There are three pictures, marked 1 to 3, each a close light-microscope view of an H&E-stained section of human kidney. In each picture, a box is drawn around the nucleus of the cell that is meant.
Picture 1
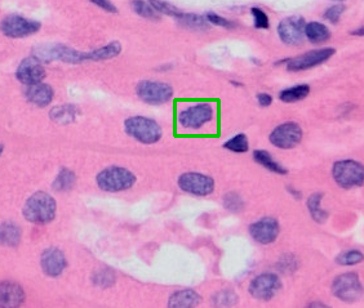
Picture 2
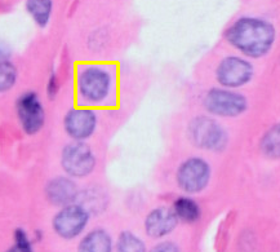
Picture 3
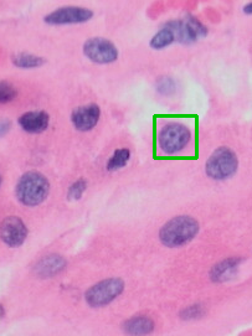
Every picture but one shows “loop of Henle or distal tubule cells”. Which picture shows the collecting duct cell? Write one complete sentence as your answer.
The collecting duct cell is the one in picture 2.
